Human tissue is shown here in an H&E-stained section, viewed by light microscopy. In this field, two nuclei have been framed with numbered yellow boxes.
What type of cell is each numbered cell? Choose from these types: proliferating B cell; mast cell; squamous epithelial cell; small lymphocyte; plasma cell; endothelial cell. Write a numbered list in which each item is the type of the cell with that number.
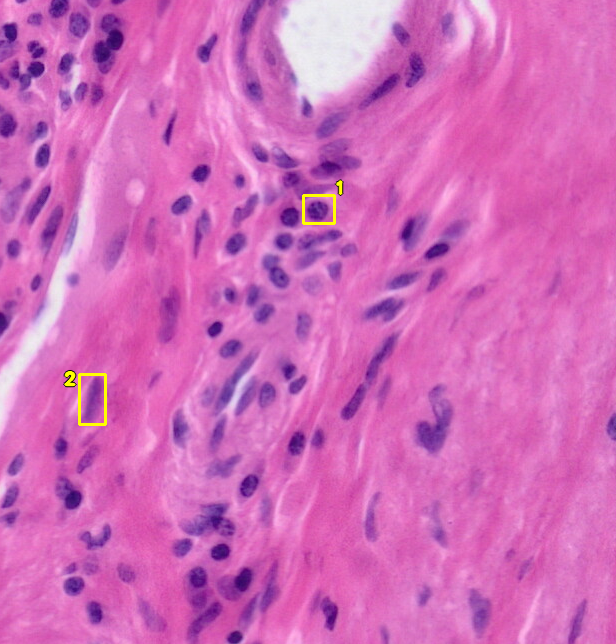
1. plasma cell
2. endothelial cell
